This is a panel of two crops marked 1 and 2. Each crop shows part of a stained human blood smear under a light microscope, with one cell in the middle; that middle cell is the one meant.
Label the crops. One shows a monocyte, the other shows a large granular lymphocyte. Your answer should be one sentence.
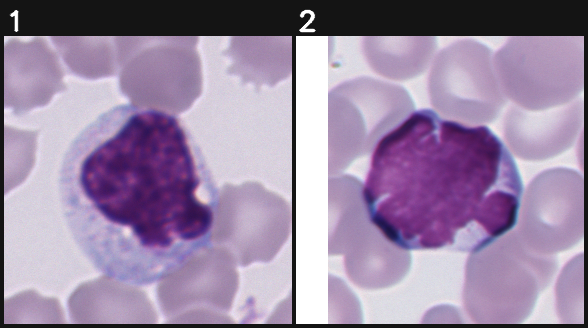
It is a monocyte that crop 1 shows, and a large granular lymphocyte that crop 2 shows.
